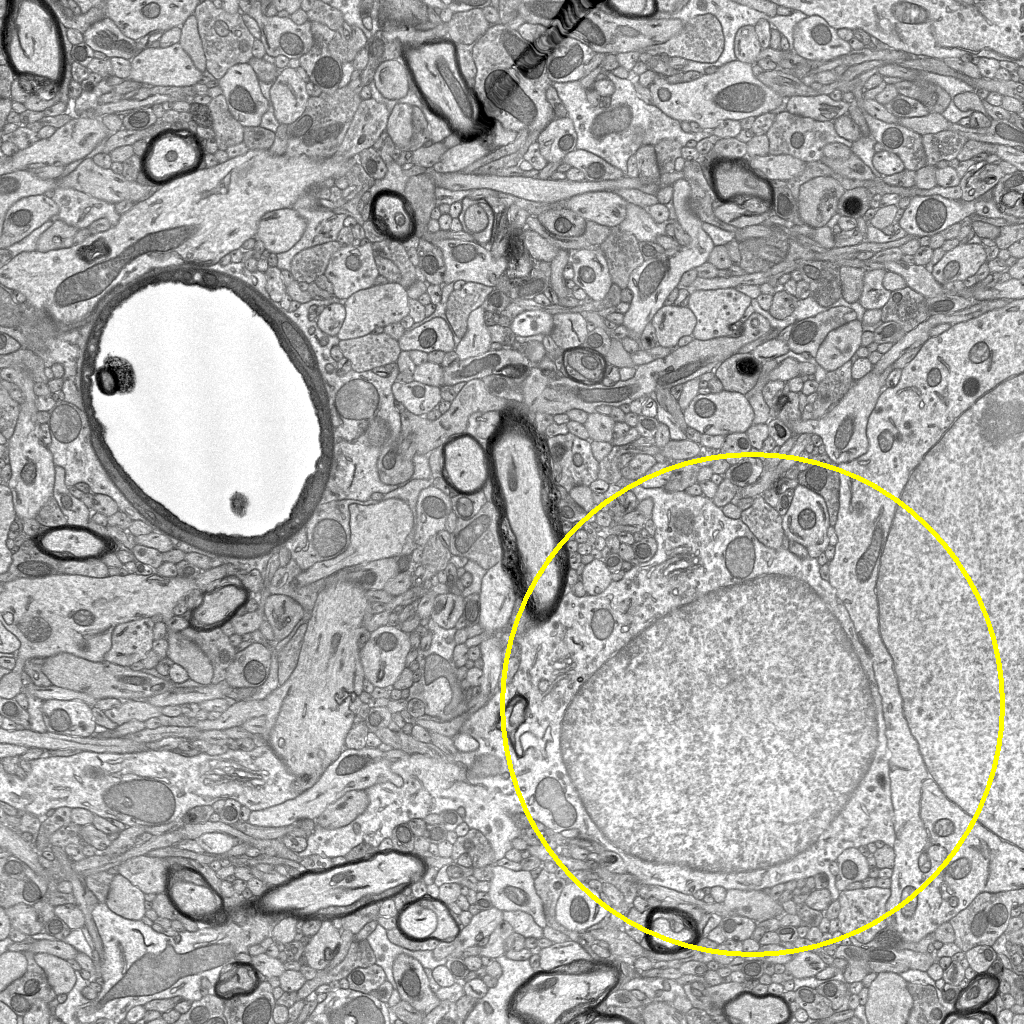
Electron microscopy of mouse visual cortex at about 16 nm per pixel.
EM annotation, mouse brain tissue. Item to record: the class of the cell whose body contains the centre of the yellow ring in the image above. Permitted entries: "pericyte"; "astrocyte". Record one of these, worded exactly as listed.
astrocyte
